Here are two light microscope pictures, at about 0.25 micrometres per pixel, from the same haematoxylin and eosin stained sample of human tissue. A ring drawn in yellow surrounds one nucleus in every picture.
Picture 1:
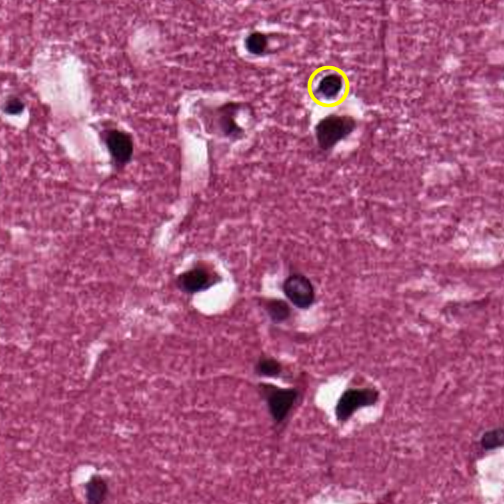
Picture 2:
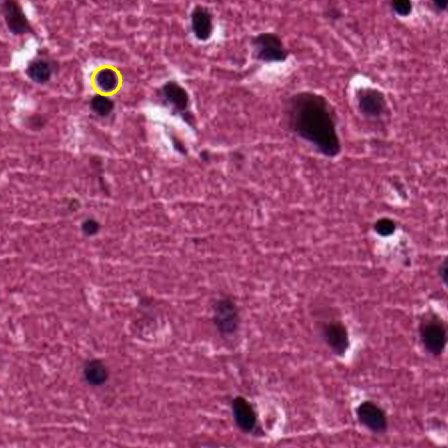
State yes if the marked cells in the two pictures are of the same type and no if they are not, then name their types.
Yes, both are oligodendrocytes.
